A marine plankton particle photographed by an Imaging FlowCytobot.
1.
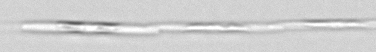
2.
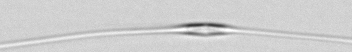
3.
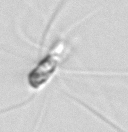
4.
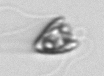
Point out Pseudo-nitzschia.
That is picture 1.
